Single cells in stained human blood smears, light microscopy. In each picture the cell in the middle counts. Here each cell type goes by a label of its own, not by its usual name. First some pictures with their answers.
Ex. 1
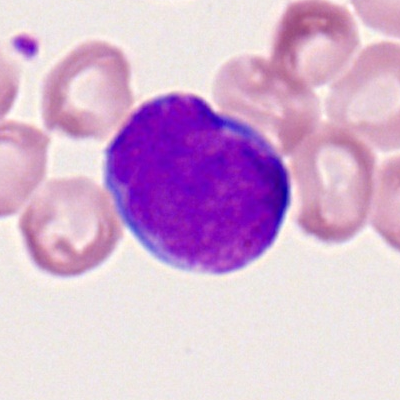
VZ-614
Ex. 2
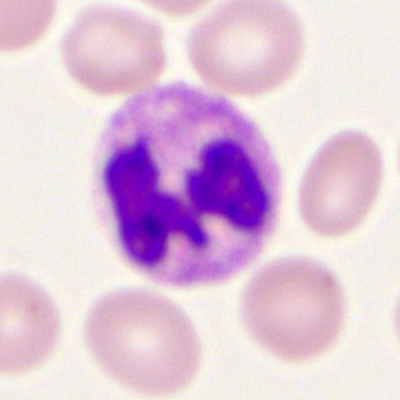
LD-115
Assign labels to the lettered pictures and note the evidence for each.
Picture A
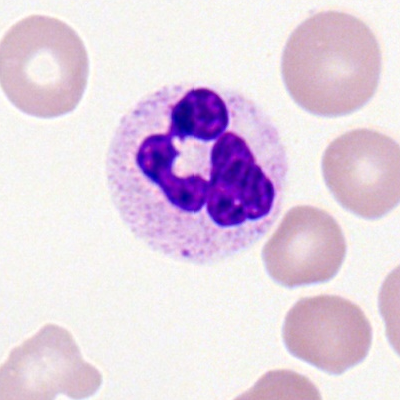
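Label: LD-115. The cytoplasm is plentiful and pale pink.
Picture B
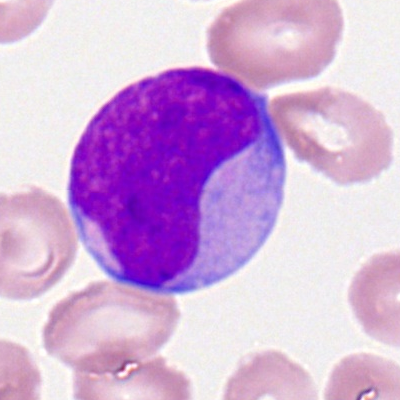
Label: VZ-614. The nucleus fills most of the cell, and the cytoplasm lies mainly on the lower right side.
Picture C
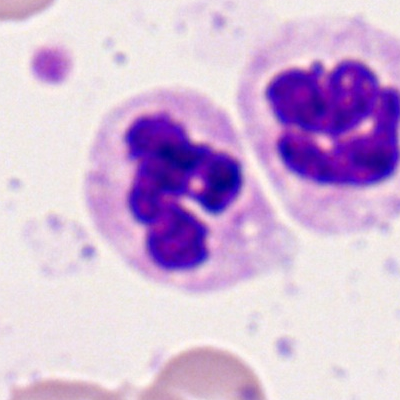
Label: LD-115. The cytoplasm is plentiful and pale pinkish-lilac.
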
